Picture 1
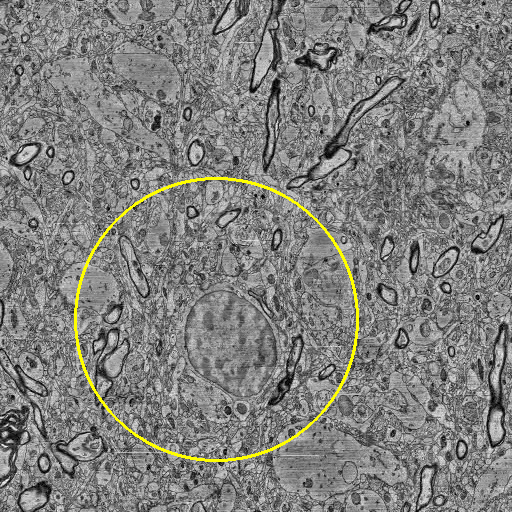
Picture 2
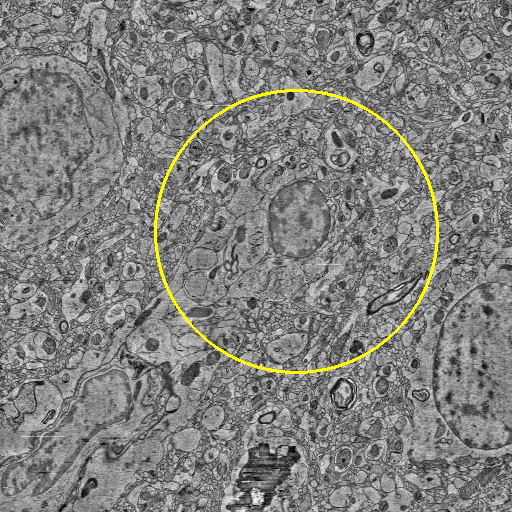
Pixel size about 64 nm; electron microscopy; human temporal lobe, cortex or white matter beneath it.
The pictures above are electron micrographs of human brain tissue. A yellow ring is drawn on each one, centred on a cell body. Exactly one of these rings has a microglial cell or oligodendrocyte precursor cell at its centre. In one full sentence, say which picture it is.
Picture 2 has it at the centre of its ring.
